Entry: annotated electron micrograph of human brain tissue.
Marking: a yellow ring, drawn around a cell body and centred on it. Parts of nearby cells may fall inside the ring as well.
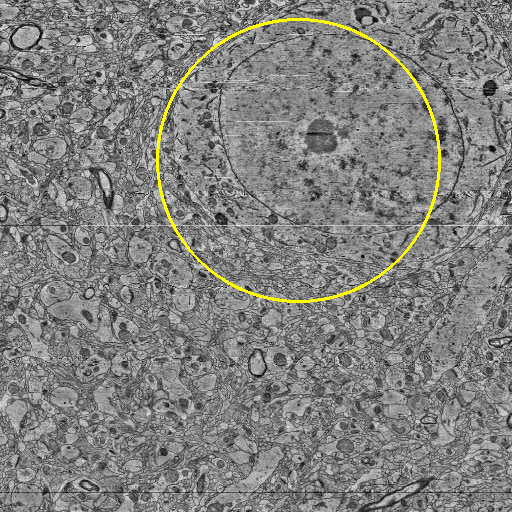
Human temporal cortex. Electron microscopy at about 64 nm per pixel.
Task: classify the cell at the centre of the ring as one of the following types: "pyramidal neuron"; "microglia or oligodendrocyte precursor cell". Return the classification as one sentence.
The marked cell is classified as a pyramidal neuron.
